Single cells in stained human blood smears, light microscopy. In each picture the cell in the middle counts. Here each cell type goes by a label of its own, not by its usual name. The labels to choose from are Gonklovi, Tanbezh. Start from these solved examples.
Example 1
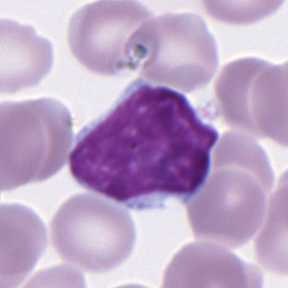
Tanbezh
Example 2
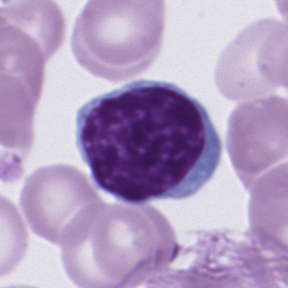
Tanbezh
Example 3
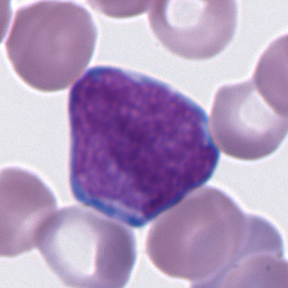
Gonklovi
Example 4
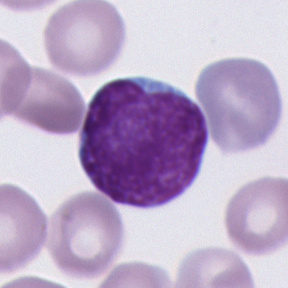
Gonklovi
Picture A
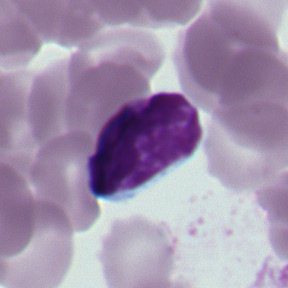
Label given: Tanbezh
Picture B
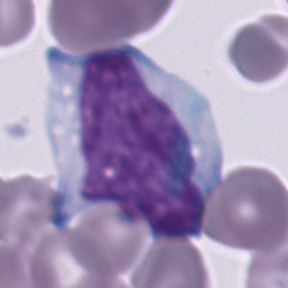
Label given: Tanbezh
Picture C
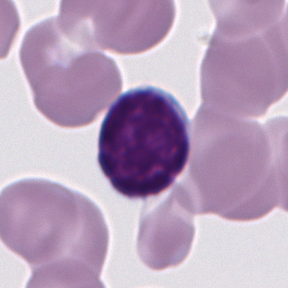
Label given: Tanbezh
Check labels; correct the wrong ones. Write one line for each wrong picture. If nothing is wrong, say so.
B: not Tanbezh but Gonklovi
